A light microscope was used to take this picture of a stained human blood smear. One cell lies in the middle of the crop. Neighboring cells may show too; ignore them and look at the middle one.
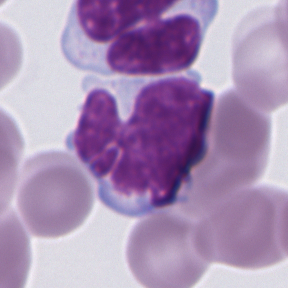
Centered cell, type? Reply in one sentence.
In short, the cell at the center is a large granular lymphocyte.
